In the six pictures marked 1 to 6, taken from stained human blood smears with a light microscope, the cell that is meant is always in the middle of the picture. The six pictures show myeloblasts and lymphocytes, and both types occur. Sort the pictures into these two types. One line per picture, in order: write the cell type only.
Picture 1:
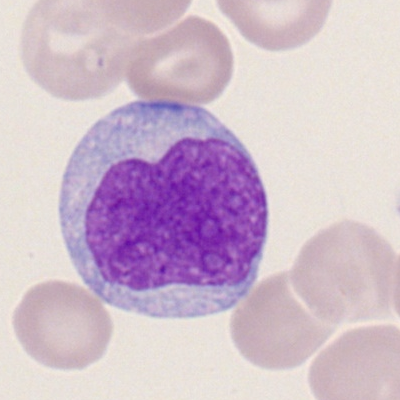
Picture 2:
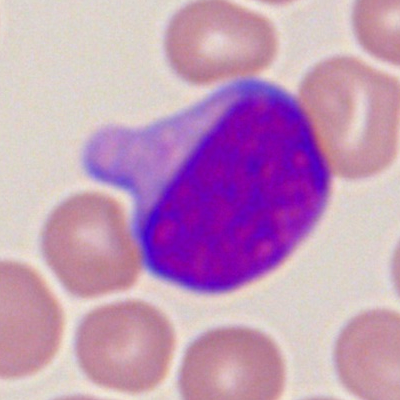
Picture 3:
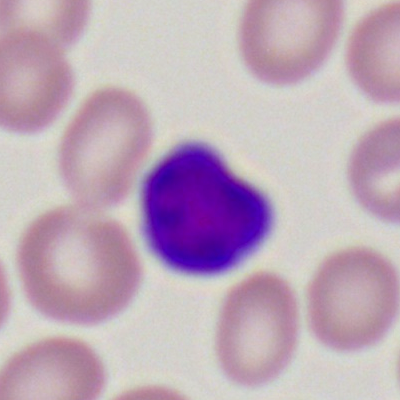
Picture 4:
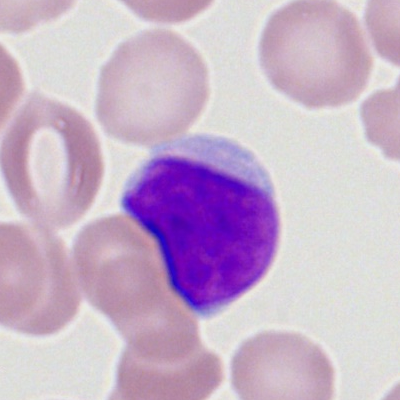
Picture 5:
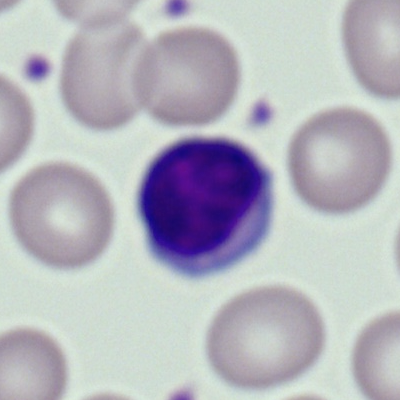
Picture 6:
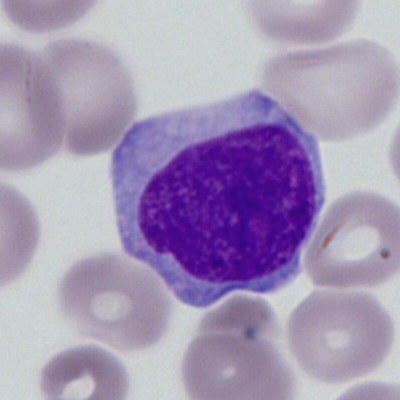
myeloblast
myeloblast
lymphocyte
lymphocyte
lymphocyte
myeloblast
